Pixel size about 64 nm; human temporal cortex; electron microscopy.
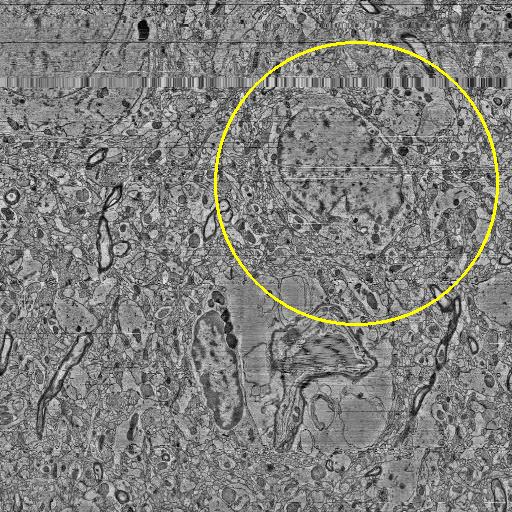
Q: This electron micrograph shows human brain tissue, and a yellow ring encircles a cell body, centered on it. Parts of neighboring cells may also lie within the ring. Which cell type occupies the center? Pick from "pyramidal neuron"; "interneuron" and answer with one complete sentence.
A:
What sits at the ring's center in this micrograph is an interneuron, among those choices.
